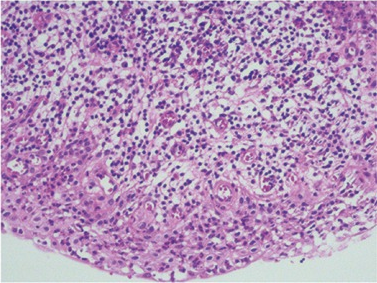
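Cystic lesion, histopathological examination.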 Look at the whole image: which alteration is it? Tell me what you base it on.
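Connective tissue is densely packed with small round dark-nucleated cells. Small blood vessels with red blood cells are scattered through the tissue.
Answer: significant infiltration of inflammatory cells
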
